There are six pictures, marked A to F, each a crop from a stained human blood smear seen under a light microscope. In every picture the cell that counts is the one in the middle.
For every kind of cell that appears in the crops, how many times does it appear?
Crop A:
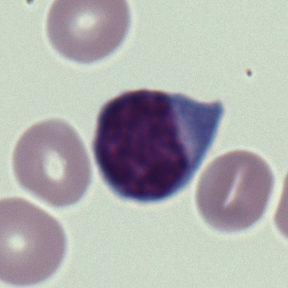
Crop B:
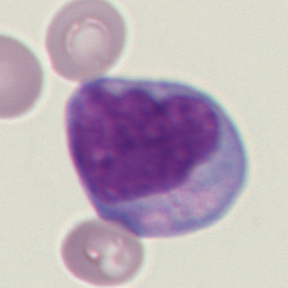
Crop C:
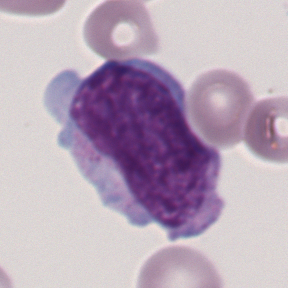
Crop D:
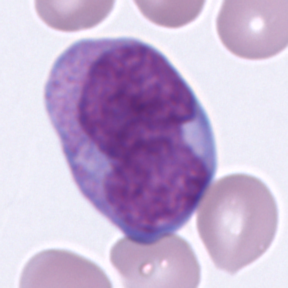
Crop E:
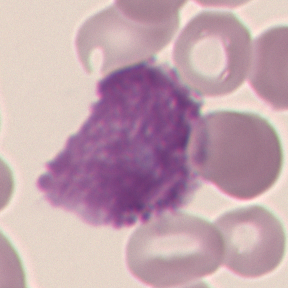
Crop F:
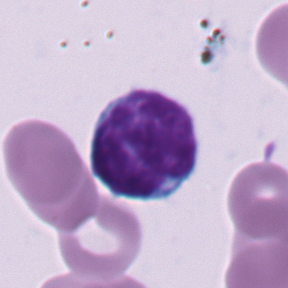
atypical promyelocyte: 3
typical lymphocyte: 2
smudge cell: 1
